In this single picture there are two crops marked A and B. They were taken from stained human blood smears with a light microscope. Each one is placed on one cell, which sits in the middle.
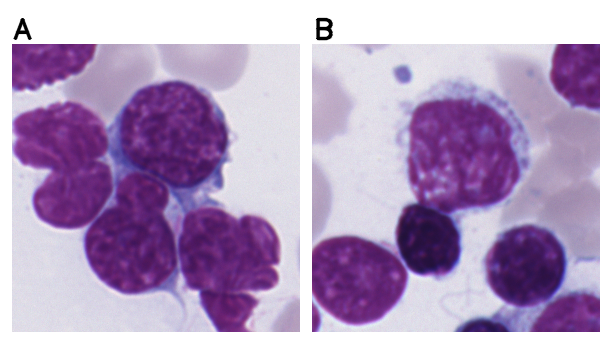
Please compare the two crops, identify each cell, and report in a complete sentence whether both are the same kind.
Yes, the two crops both show myeloblasts.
